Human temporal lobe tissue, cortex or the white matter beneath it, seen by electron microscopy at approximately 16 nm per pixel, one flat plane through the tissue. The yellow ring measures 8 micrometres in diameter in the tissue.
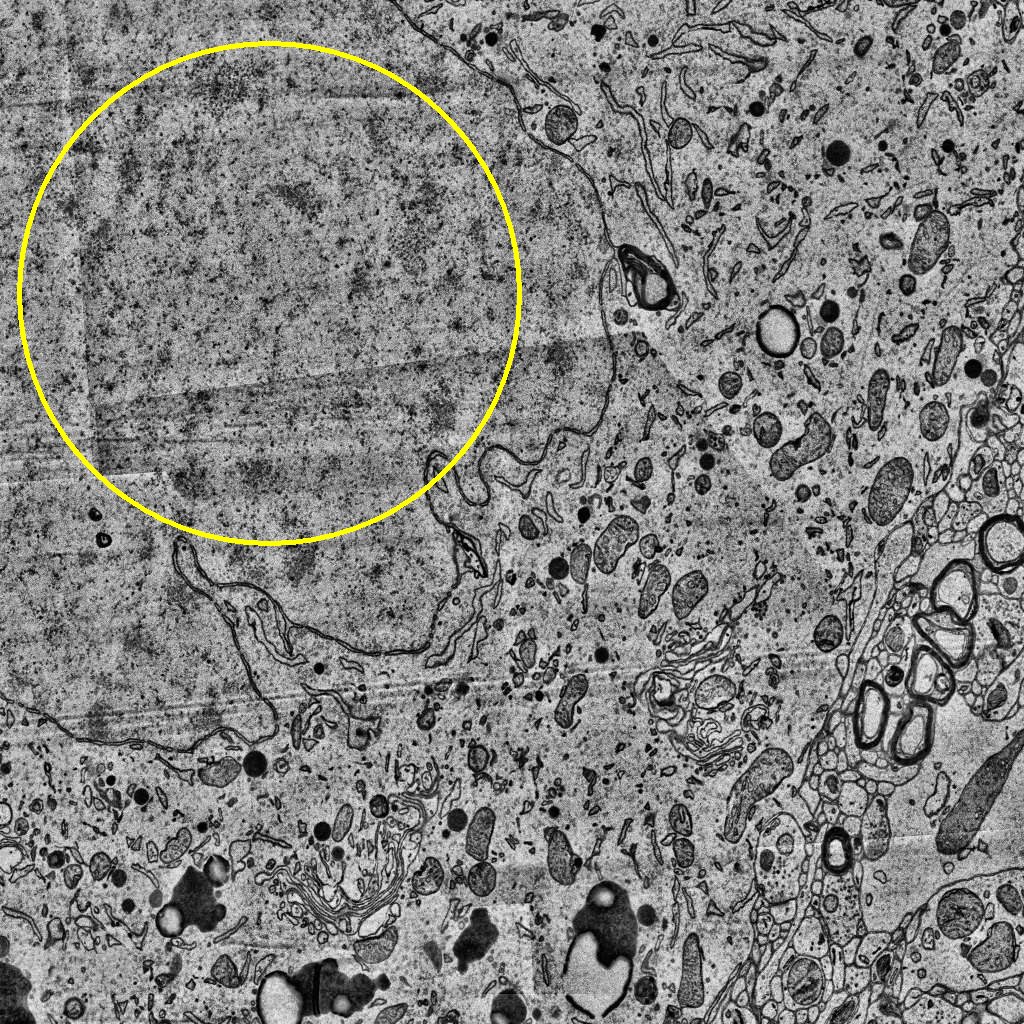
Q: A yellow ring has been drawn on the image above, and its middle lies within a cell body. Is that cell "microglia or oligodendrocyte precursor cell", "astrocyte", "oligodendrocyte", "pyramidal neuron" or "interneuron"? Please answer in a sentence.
The ring's middle lies in the cell body of a pyramidal neuron.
